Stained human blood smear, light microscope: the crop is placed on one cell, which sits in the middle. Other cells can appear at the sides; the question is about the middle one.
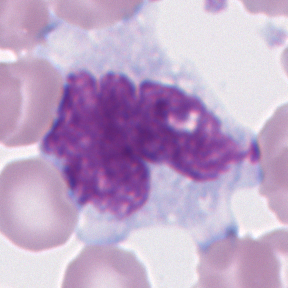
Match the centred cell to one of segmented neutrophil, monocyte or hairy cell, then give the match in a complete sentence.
In this crop, the cell at the very middle is a monocyte.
